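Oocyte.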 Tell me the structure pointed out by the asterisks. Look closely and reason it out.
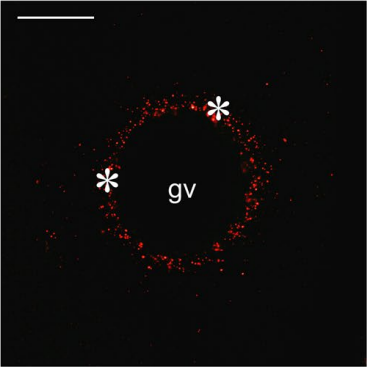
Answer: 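Perinuclear layer. Red dots cluster in a ring around the dark round nucleus. Few red dots lie farther out in the cytoplasm.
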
